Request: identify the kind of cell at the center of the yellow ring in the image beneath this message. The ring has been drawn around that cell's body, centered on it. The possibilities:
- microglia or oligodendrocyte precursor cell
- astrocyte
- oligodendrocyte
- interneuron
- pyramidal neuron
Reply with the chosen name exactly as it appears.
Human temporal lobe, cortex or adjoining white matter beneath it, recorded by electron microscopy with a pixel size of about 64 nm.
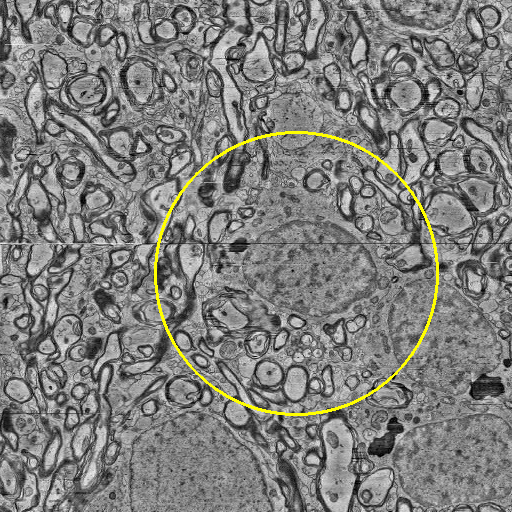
oligodendrocyte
